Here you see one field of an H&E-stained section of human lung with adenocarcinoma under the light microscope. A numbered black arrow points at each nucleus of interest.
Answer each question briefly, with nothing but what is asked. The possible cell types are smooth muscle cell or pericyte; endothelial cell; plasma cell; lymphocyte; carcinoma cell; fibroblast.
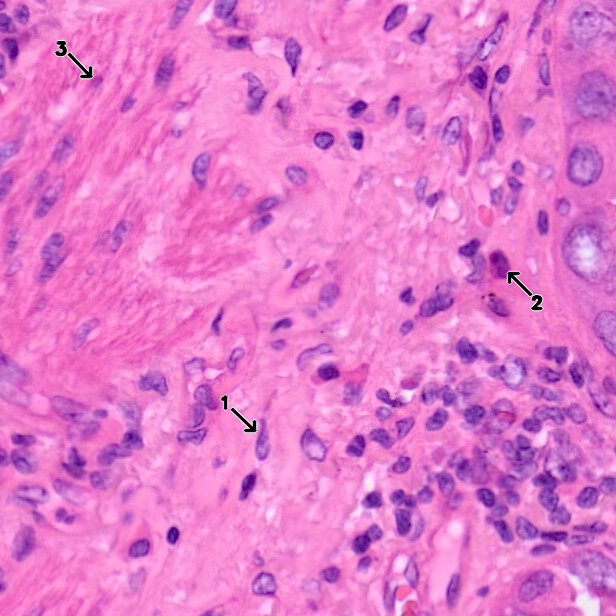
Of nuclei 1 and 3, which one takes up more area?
1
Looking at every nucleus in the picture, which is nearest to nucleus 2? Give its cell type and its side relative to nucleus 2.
a fibroblast; to the left of nucleus 2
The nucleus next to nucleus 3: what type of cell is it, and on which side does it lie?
a smooth muscle cell or pericyte; below and to the right of nucleus 3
